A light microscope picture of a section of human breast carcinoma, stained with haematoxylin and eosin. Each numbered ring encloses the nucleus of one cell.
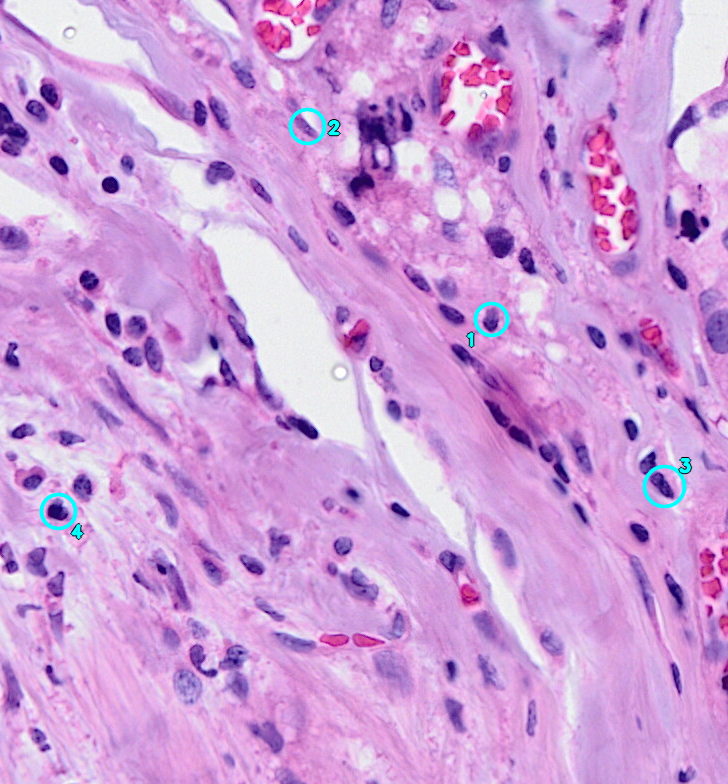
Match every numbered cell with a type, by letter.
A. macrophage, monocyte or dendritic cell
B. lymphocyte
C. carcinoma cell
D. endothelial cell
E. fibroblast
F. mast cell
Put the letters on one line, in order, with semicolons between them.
B; E; B; B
